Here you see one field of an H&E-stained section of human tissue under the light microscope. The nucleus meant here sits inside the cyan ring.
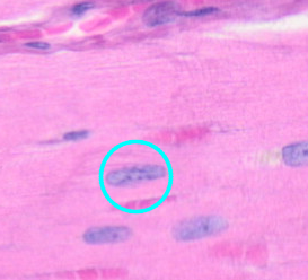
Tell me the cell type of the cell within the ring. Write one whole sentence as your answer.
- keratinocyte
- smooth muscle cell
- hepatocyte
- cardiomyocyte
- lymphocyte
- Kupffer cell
In this section, the cell within the ring is a cardiomyocyte.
